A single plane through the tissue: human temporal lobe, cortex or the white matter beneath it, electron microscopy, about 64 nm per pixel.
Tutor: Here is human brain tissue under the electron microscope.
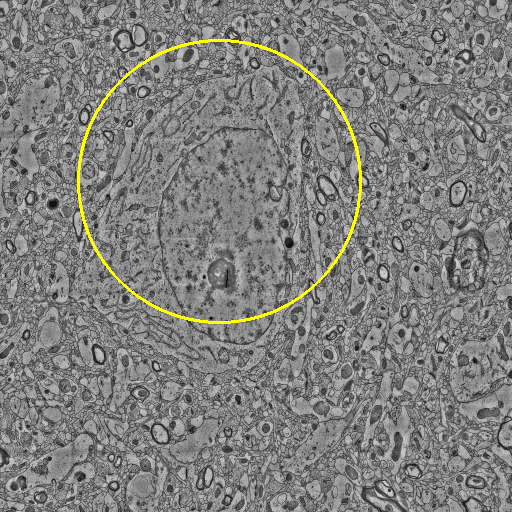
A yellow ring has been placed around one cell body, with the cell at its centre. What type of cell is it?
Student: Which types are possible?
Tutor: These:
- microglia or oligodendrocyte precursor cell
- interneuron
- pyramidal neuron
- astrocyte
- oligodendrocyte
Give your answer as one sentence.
What the ring picks out here is an interneuron.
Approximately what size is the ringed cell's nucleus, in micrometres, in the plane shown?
Roughly 14 by 9 micrometres; in this plane, clearly longer than it is wide.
